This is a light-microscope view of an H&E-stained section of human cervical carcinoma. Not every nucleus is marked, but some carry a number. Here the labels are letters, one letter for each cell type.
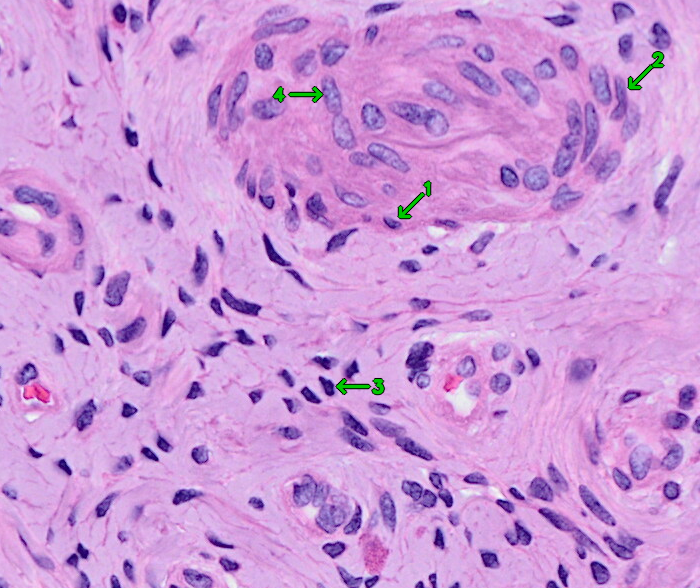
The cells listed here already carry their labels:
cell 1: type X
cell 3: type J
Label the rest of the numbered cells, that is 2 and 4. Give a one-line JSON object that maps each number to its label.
{"2": "type X", "4": "type X"}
